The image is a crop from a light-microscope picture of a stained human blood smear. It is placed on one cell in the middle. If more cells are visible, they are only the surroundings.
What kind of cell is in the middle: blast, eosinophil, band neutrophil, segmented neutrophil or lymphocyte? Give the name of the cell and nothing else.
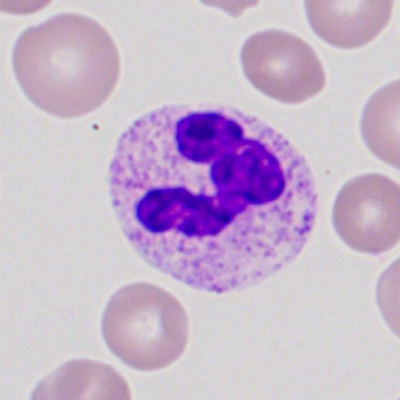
segmented neutrophil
